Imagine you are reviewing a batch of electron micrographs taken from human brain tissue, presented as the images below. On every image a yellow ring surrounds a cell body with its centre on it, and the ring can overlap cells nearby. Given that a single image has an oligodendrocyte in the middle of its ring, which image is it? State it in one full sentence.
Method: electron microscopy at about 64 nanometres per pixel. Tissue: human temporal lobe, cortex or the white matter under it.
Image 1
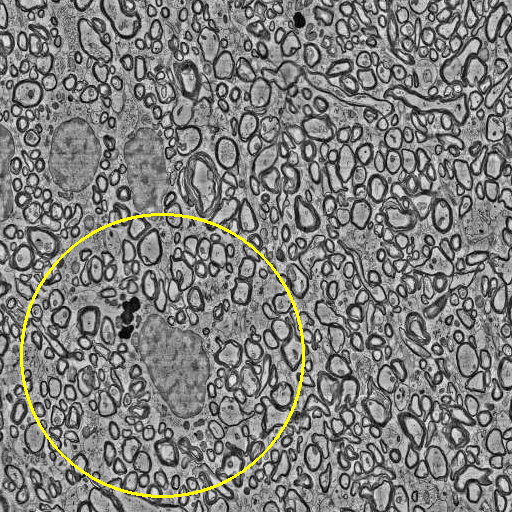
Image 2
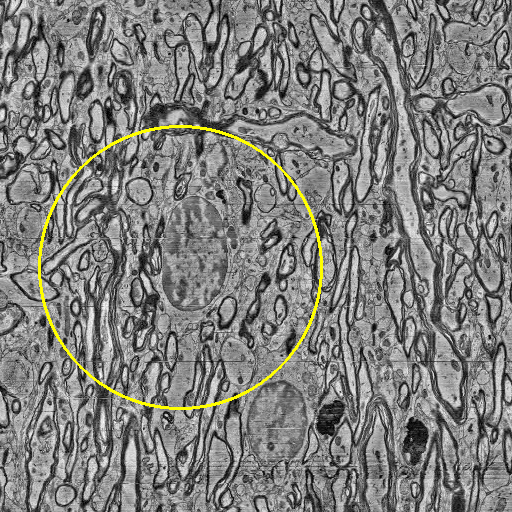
Of all the images, number 1 has the described cell at the centre of its ring.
